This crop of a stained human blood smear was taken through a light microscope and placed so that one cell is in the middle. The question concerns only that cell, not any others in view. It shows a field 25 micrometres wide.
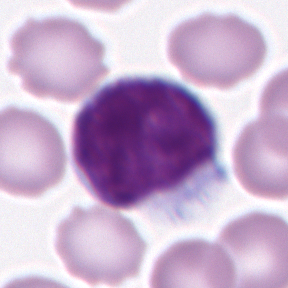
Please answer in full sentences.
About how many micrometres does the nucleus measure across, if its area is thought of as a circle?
The nucleus is about 11 micrometres across.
